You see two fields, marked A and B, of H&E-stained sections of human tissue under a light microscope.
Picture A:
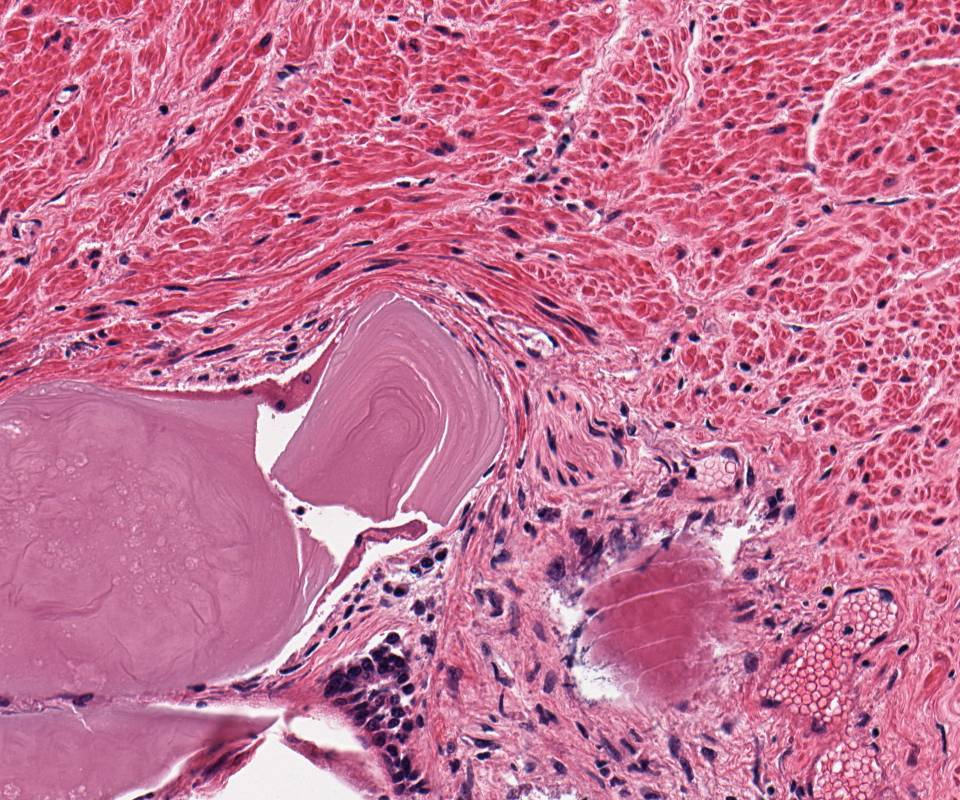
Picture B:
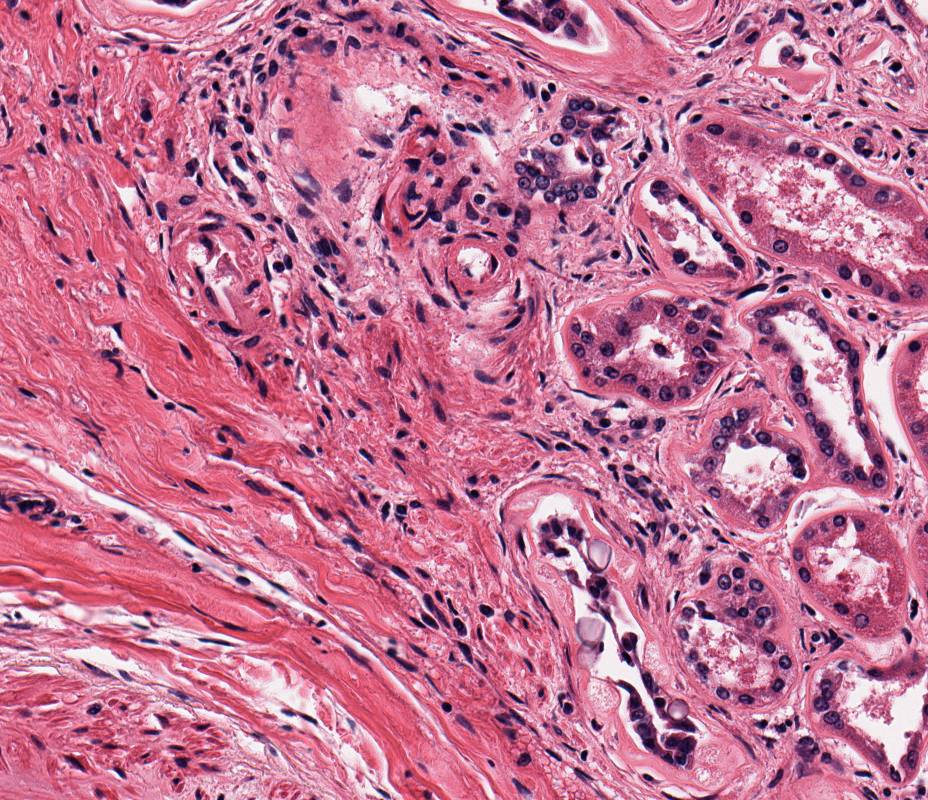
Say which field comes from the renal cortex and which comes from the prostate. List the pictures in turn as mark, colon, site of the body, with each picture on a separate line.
A: prostate
B: renal cortex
